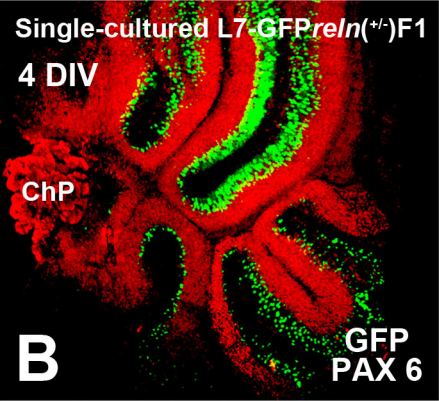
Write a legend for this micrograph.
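A cerebellar slice with several folia radiating from a central region. Densely packed small cells in red fill the core of each folium, forming thick granule cell layers. The green cells are larger and more widely spaced than the red ones. The layered, foliated pattern of the cerebellar cortex is well preserved.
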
